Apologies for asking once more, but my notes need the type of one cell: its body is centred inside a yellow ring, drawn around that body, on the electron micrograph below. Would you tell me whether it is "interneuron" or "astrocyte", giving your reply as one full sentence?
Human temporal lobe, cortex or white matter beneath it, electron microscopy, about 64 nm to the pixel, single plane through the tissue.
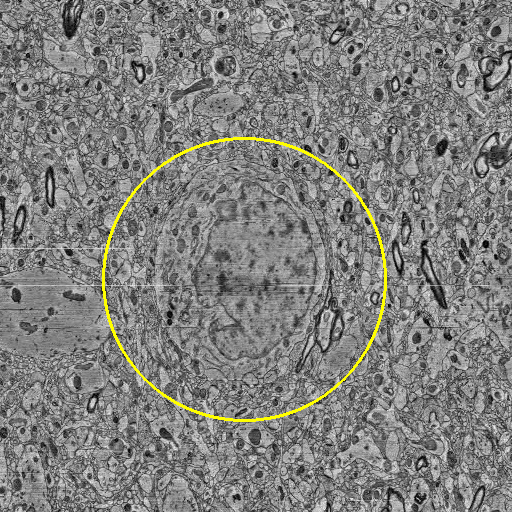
The cell that the yellow ring is centred on is an interneuron in this micrograph.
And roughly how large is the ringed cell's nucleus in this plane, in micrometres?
Approximately 11 micrometres long and 8 micrometres wide, in this plane.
